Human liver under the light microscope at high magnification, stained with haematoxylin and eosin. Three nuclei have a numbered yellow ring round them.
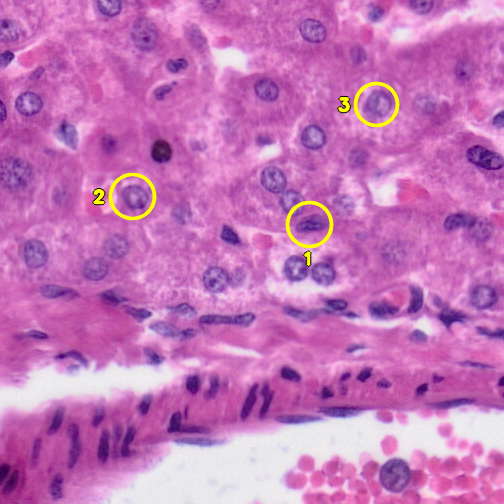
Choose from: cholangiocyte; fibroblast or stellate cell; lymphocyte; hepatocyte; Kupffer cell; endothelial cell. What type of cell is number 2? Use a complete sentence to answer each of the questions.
The cell that bears the number 2 is a hepatocyte.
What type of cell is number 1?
The cell with the number 1 is a fibroblast or stellate cell.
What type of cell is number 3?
The cell to which the number 3 is assigned is a hepatocyte.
